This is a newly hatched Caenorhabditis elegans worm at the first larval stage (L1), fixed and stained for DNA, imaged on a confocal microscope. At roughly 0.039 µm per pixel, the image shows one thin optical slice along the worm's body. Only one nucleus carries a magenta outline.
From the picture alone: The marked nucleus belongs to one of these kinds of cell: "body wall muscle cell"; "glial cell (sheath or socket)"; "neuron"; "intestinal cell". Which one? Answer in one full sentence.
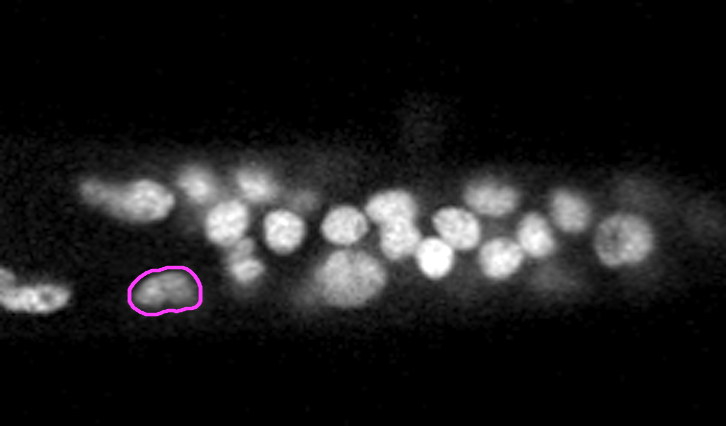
The marked nucleus belongs to an intestinal cell.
